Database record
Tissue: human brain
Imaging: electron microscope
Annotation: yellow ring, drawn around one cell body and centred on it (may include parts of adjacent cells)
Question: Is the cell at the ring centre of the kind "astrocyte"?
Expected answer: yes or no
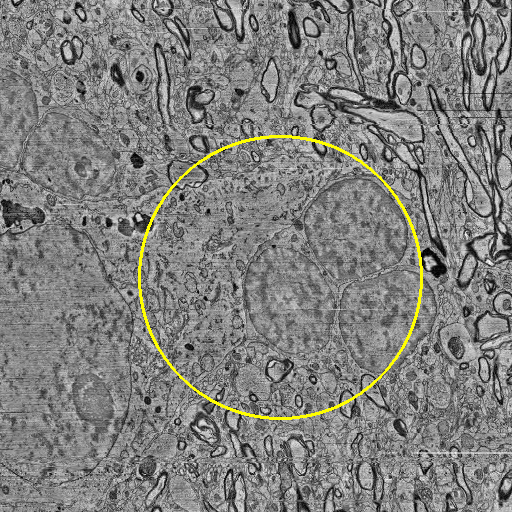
no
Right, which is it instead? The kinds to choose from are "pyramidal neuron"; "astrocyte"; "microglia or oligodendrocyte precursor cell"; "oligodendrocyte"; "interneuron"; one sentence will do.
The cell at the middle of the ring is an oligodendrocyte.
